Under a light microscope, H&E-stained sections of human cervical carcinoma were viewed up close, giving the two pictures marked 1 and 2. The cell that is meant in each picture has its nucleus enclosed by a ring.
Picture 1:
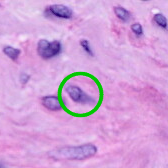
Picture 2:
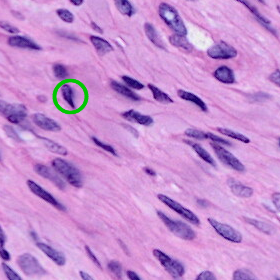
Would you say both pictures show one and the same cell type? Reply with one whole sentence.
No, they differ: the cell is a smooth muscle cell in picture 1 and a fibroblast in picture 2.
